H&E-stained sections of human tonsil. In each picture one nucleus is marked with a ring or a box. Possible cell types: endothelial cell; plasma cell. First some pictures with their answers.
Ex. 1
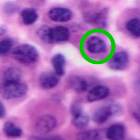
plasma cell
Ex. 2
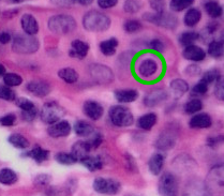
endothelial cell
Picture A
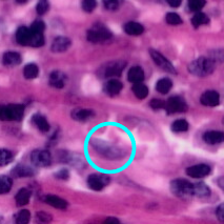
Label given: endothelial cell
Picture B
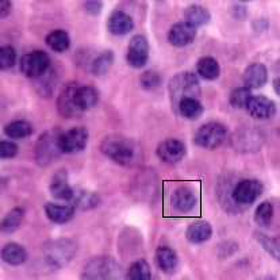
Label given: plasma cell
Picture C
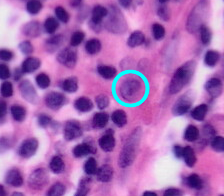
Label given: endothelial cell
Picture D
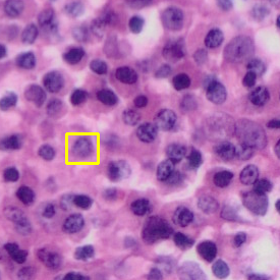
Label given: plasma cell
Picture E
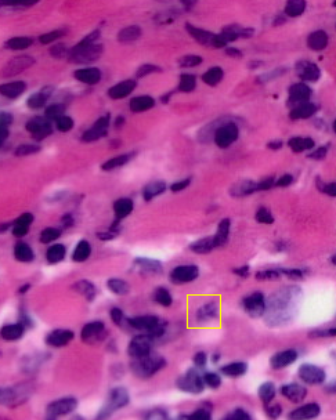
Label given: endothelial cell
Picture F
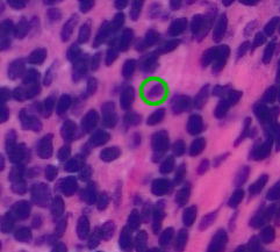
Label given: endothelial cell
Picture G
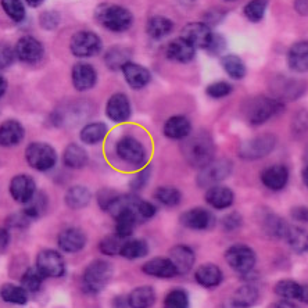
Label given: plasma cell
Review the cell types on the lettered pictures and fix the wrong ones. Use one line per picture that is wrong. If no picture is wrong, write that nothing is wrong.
All labels are correct.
